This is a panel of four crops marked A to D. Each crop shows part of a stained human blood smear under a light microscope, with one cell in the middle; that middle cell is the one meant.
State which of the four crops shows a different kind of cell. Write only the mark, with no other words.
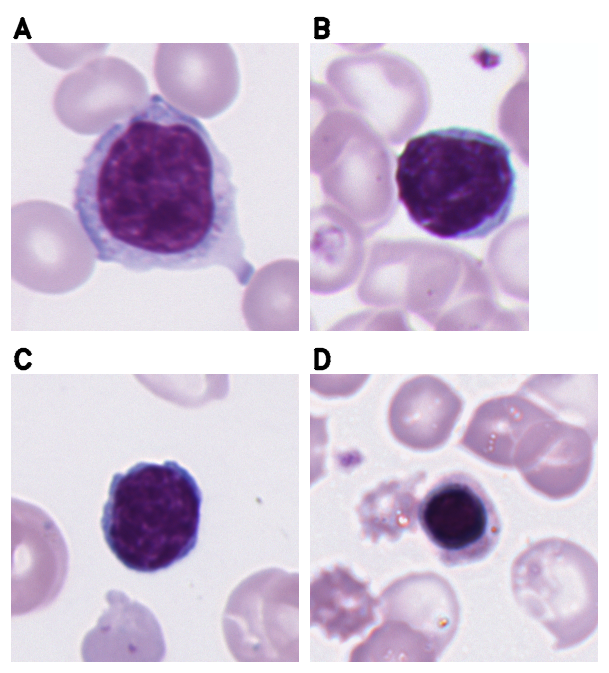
D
